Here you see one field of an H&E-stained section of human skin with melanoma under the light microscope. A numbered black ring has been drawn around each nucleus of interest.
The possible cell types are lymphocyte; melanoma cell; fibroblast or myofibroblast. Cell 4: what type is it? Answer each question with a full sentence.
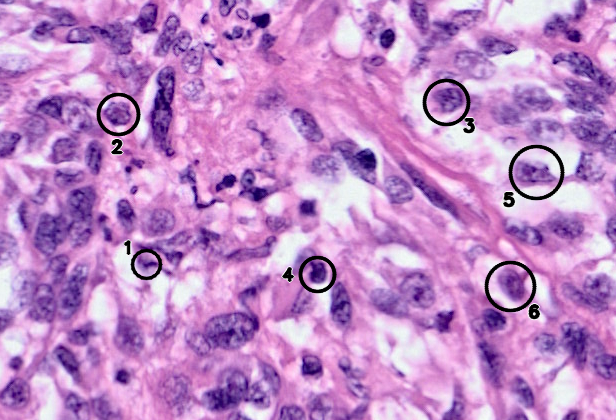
The cell marked with number 4 is a lymphocyte.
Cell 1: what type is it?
The cell with the number 1 is a fibroblast or myofibroblast.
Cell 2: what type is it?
The marked nucleus 2 is that of a melanoma cell.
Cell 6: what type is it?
The identity of cell 6 is that of a melanoma cell.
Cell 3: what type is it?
Denoted by the label 3 in the section is a melanoma cell.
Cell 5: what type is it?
The cell marked with the number 5 is a melanoma cell.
